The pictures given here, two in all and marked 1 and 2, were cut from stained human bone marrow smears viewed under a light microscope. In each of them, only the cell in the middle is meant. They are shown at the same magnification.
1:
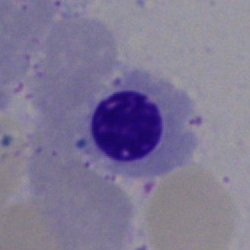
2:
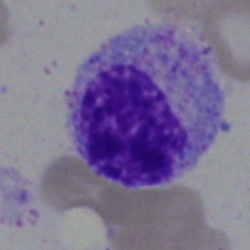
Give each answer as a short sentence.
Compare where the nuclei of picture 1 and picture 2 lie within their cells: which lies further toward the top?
The nucleus in picture 1 lies further toward the top of its cell.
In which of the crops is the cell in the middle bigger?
Larger is the cell in picture 2, at roughly 2 times the area of the other.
